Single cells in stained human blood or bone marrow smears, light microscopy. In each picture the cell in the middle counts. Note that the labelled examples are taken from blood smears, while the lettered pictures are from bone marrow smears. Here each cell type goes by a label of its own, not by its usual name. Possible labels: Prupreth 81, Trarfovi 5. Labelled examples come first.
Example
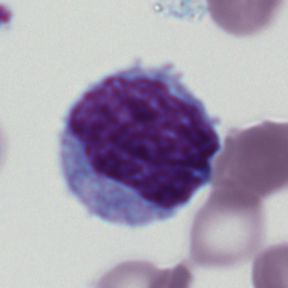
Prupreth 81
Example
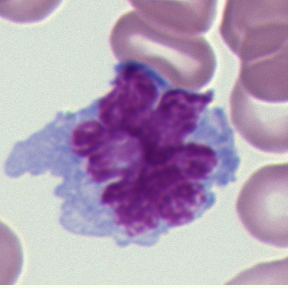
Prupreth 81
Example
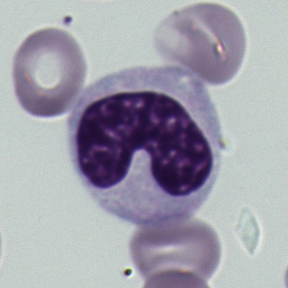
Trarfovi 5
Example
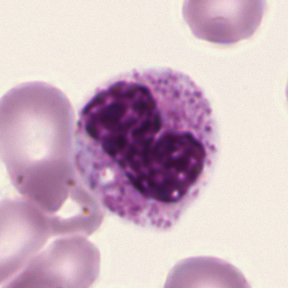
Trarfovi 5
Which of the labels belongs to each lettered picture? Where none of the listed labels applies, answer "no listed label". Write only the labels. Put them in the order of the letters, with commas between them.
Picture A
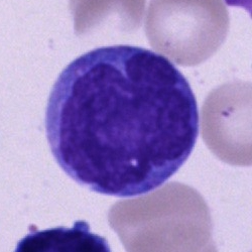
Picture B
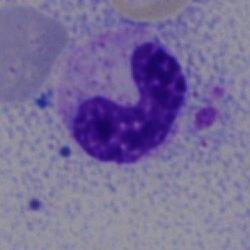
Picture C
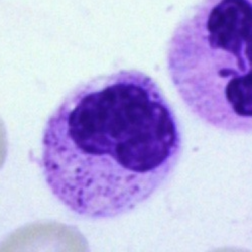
Prupreth 81, Trarfovi 5, no listed label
